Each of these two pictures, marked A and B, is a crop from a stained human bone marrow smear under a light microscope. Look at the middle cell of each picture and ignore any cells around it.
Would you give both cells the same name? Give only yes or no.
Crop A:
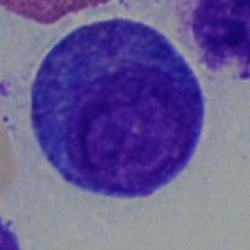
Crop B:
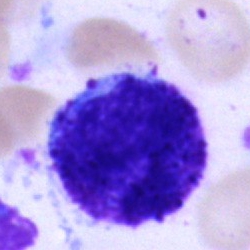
no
